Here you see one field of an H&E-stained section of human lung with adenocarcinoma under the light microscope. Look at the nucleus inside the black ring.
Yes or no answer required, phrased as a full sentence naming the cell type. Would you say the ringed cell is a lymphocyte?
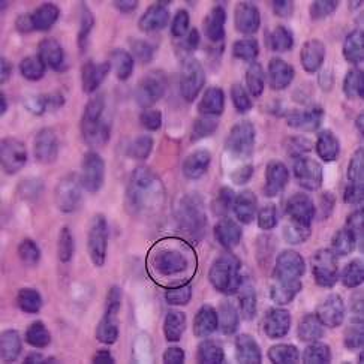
Yes, it is a lymphocyte that the ringed cell represents in this section.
